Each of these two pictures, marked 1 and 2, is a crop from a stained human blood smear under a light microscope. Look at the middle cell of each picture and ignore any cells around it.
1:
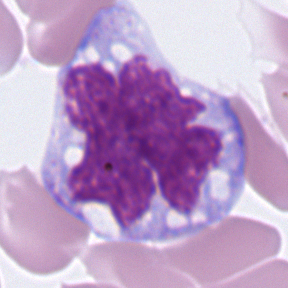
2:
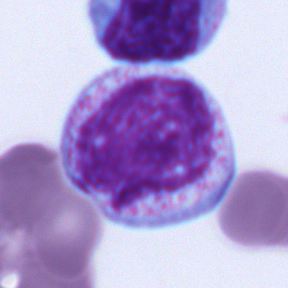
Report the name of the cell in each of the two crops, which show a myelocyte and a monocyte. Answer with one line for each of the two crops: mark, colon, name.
1: monocyte
2: myelocyte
